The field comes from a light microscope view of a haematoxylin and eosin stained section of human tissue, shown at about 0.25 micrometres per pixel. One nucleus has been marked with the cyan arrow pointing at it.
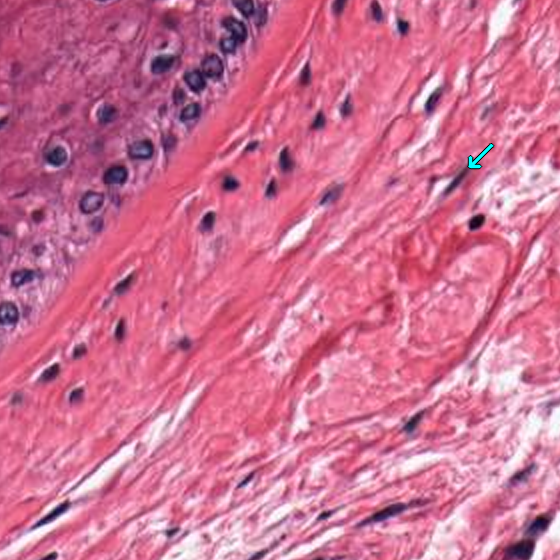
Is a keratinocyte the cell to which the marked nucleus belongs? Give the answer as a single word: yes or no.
no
